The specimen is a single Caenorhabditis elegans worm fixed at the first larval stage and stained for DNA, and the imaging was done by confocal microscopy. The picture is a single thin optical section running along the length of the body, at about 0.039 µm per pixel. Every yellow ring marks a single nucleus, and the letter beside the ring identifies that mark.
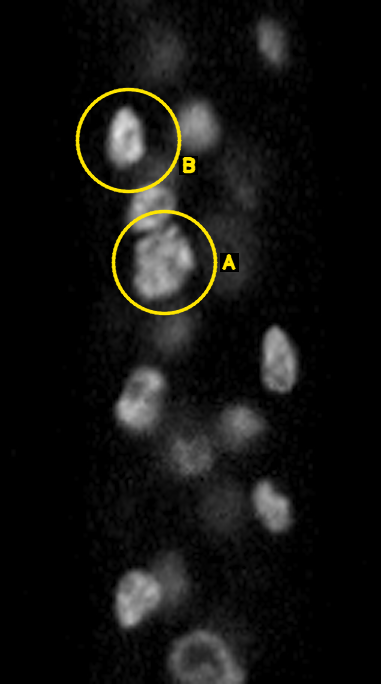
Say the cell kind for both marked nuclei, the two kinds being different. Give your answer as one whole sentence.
A is the nucleus of a germ line precursor; B is the nucleus of a body wall muscle cell.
